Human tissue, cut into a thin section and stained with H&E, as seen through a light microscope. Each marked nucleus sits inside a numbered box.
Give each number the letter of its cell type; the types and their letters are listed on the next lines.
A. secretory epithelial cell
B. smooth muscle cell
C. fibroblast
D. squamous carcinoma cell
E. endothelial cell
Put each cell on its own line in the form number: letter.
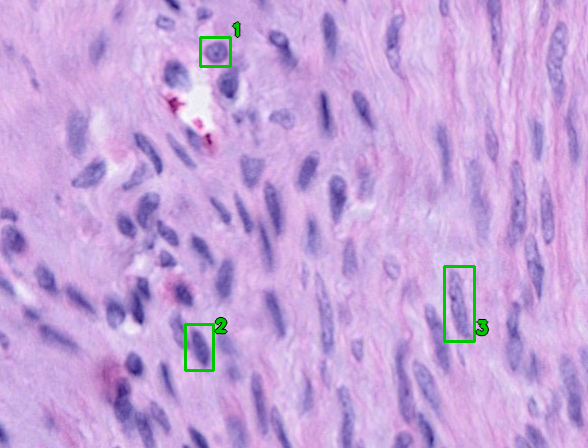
1: E
2: C
3: B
